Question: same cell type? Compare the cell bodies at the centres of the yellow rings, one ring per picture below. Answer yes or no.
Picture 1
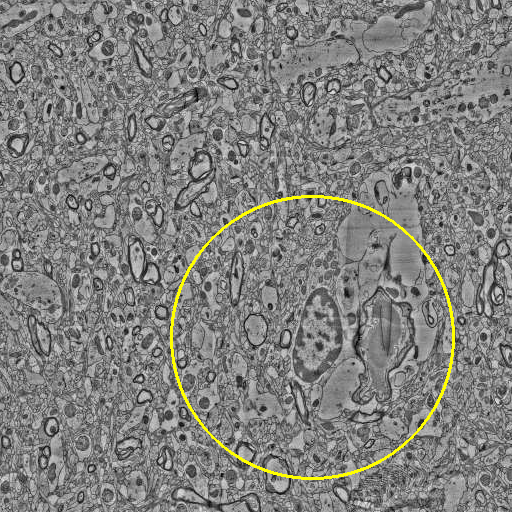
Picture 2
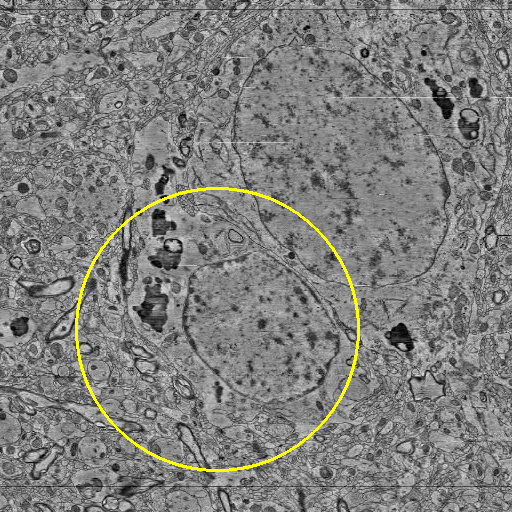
no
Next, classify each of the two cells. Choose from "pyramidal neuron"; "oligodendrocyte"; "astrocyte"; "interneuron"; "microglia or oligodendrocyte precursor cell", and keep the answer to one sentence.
In the first picture it is a microglial cell or oligodendrocyte precursor cell; in the second it is an astrocyte.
